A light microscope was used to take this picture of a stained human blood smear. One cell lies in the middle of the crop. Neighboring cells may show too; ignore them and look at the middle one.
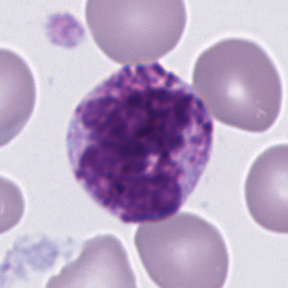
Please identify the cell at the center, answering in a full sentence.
The central element of this crop is a cell, namely a basophil.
